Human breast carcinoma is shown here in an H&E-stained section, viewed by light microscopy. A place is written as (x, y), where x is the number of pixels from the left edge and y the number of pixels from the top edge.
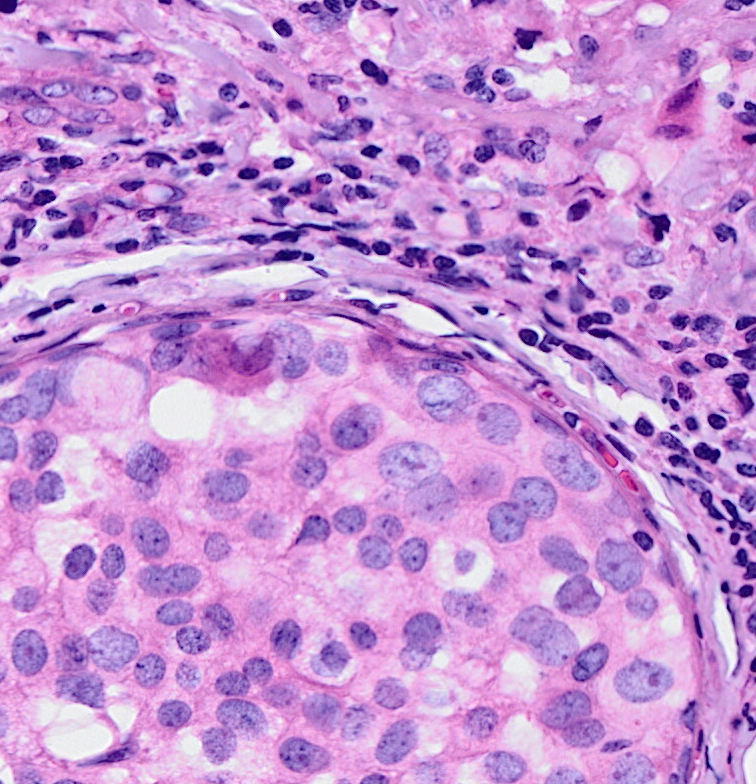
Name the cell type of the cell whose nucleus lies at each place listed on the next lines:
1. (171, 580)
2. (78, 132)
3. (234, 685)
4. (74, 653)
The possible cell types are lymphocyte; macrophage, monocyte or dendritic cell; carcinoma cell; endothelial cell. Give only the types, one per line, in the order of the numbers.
carcinoma cell
endothelial cell
carcinoma cell
carcinoma cell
